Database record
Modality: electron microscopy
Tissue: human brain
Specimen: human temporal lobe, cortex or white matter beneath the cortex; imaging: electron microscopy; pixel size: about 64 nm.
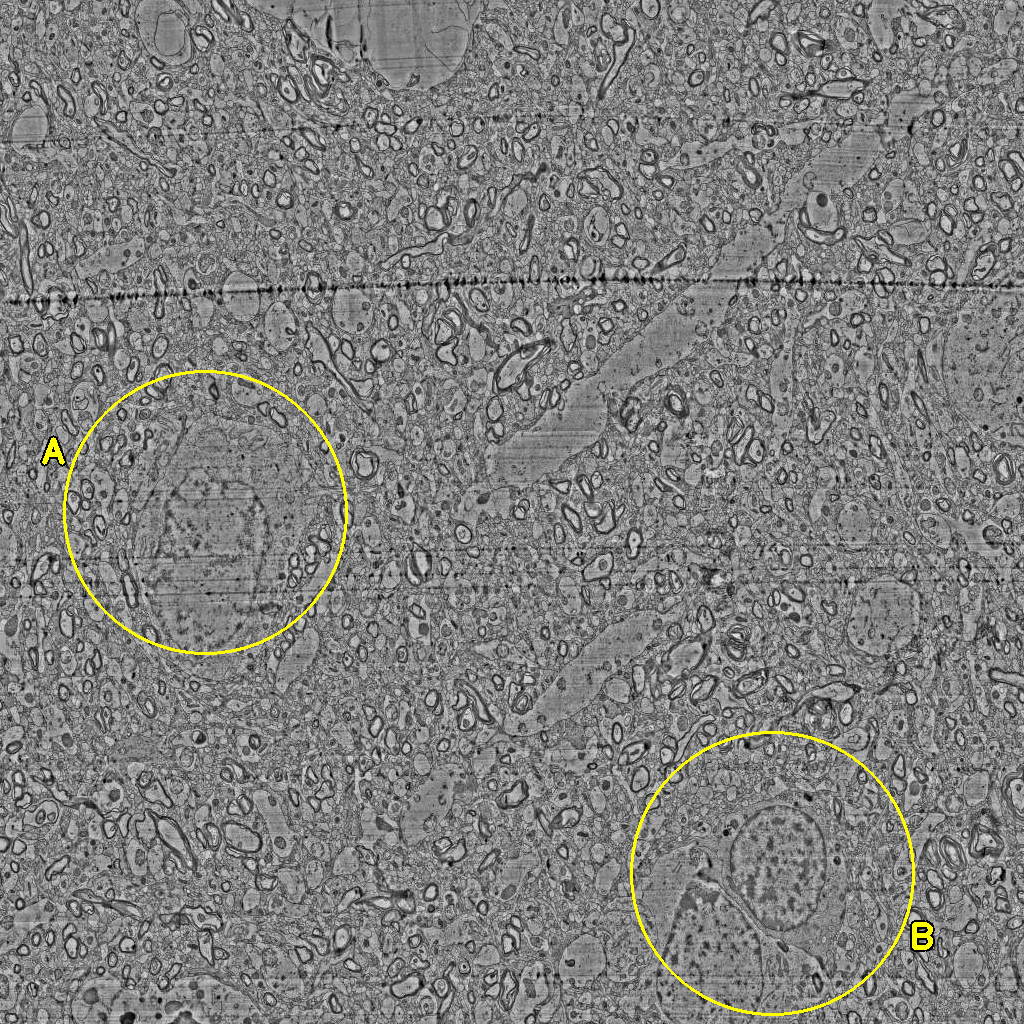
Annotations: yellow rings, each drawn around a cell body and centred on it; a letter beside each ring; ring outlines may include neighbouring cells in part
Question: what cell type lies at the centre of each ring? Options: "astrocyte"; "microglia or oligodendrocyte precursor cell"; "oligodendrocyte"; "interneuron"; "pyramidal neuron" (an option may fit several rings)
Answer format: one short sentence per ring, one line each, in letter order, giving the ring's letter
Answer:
Ring A corresponds to an interneuron.
Ring B corresponds to an oligodendrocyte.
